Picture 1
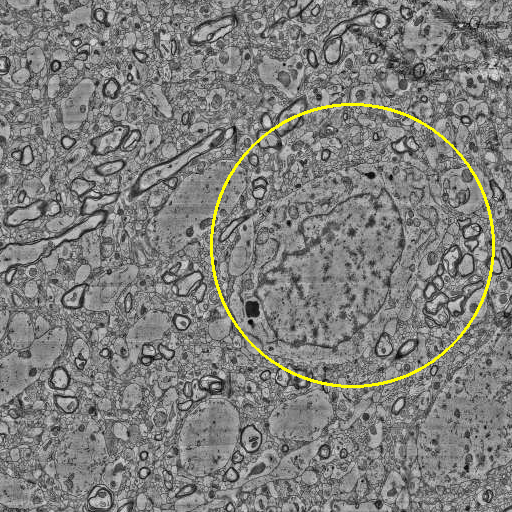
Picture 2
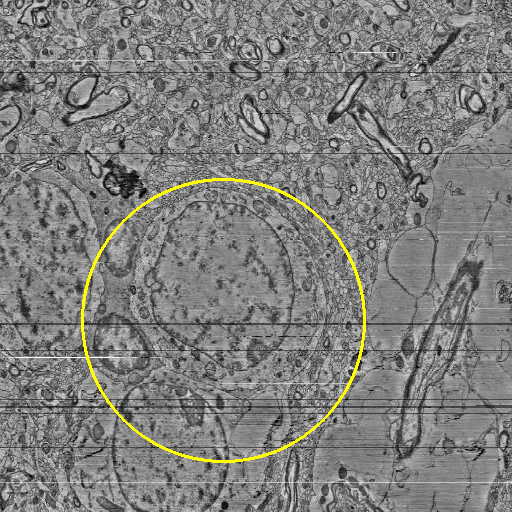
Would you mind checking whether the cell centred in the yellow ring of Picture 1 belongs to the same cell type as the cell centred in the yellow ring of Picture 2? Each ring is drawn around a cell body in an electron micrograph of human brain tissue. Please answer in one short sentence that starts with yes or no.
No, the two cells are of two types.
